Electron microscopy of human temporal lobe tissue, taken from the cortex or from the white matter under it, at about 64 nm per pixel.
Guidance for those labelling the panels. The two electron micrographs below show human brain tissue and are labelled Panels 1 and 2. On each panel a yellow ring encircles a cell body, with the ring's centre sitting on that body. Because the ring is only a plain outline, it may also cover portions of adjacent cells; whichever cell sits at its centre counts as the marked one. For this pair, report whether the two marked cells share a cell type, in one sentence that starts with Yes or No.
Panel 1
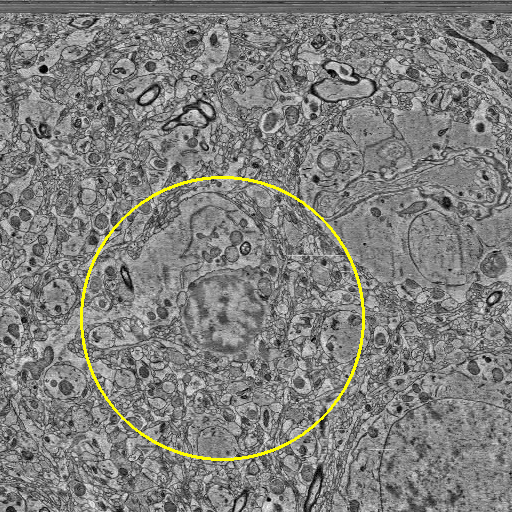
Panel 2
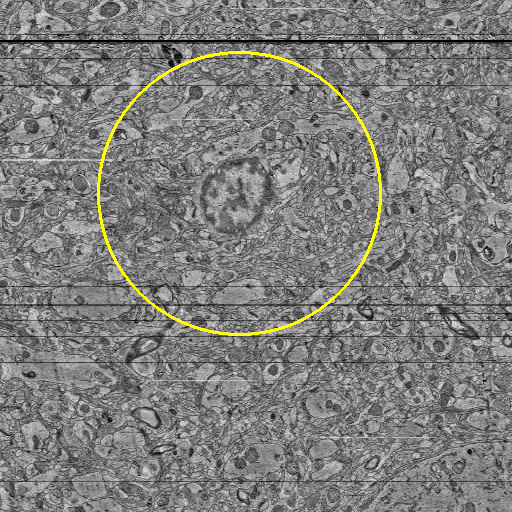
Yes, in Panel 1 and Panel 2 the marked cells at the ring centres share one type.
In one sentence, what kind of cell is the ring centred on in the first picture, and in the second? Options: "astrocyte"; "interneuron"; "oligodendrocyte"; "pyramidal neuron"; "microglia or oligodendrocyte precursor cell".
The first and the second cell are each an oligodendrocyte.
